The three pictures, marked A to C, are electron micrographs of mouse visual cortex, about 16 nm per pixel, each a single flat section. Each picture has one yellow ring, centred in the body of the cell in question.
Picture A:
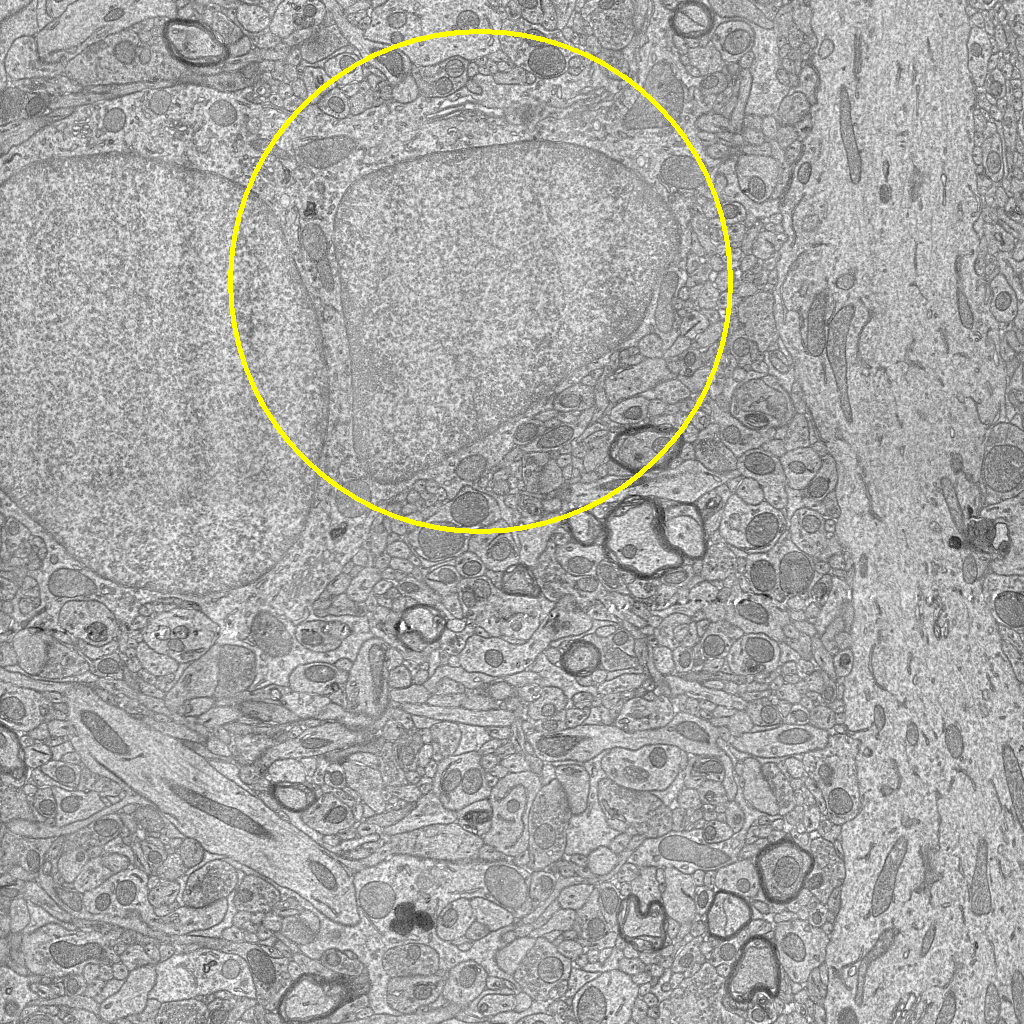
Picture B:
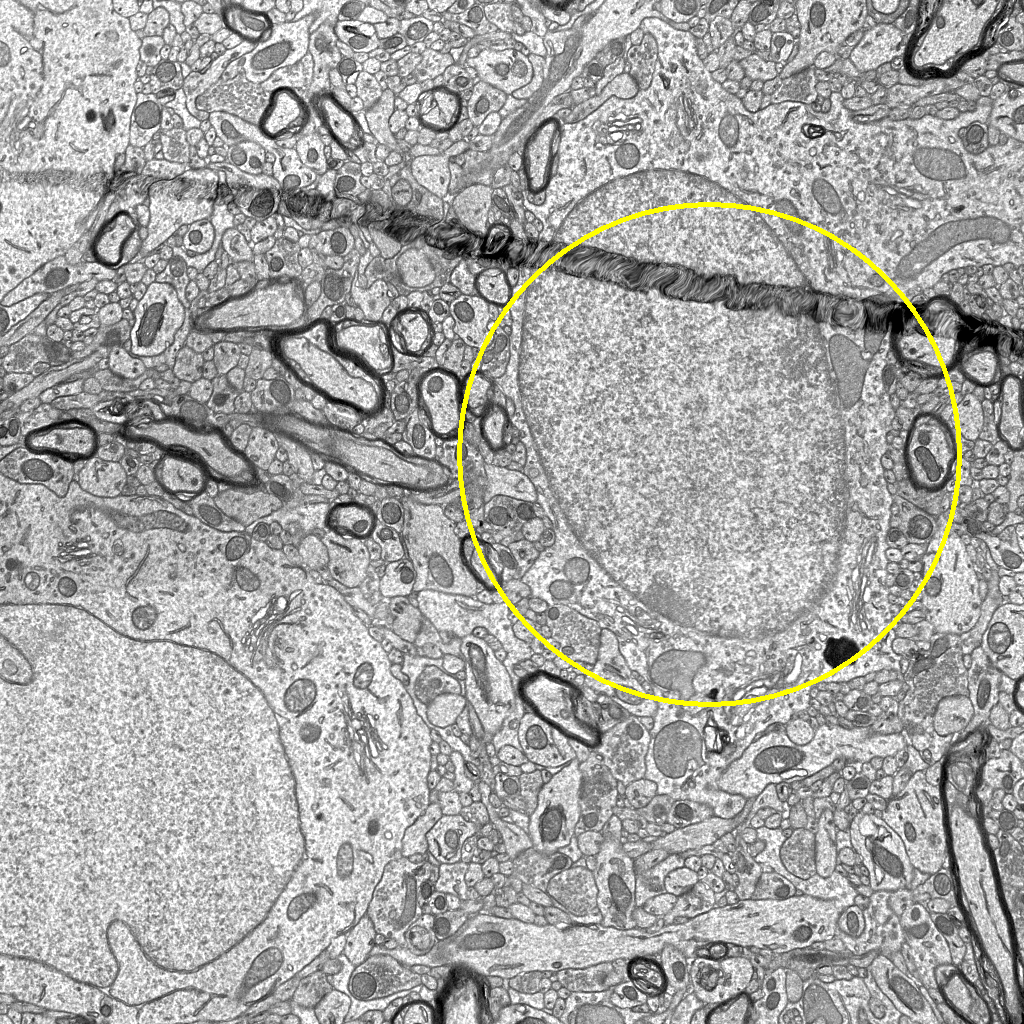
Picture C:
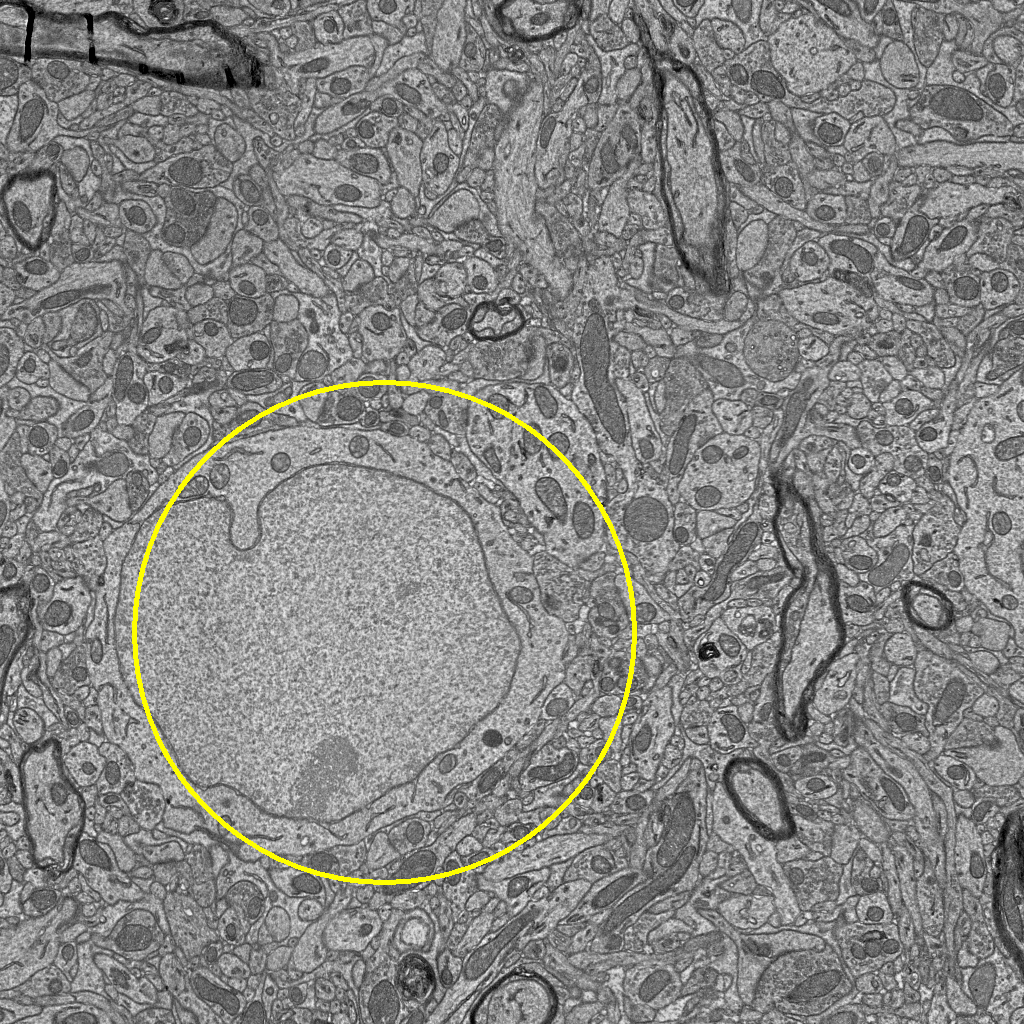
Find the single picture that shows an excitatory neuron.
The picture with the excitatory neuron is C.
